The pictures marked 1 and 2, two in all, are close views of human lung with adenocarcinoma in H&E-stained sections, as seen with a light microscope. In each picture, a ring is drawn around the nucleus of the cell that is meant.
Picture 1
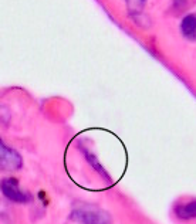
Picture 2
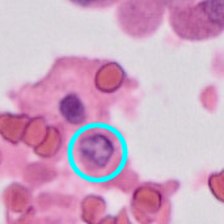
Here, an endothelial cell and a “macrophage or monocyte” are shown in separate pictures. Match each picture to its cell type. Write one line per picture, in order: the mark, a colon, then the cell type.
1: endothelial cell
2: macrophage or monocyte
